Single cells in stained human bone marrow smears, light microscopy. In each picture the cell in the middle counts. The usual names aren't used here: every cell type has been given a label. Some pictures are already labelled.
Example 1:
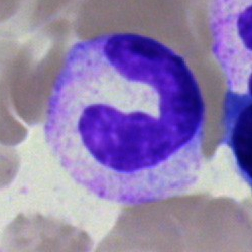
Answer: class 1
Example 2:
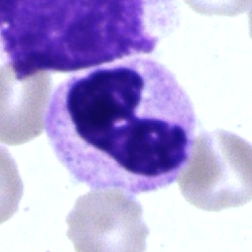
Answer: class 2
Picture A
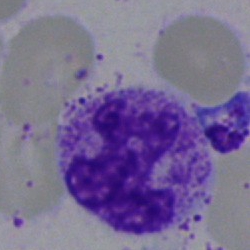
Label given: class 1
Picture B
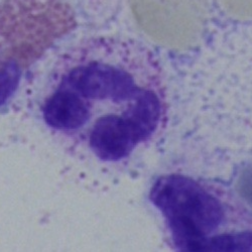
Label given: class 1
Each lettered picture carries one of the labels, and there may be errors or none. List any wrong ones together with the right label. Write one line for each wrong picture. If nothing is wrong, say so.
A: not class 1 but class 2
B: not class 1 but class 2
